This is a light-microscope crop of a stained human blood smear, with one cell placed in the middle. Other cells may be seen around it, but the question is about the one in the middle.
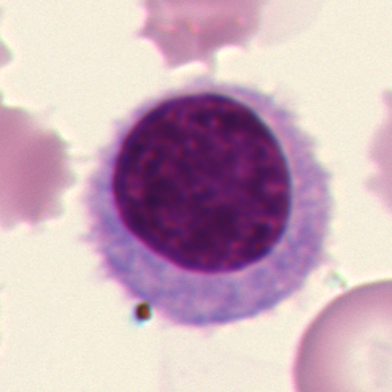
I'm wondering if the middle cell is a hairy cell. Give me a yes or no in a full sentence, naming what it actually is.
Yes, the cell that is in the middle is a hairy cell.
